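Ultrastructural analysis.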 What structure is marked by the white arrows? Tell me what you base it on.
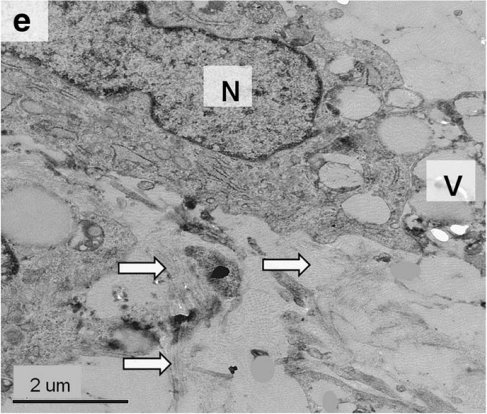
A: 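The arrows point to fine, wispy fibrillar material outside the cell. The fibrils lie in bundles in the pale extracellular space below the nucleated cell. That points to this answer: collagen fibers.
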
